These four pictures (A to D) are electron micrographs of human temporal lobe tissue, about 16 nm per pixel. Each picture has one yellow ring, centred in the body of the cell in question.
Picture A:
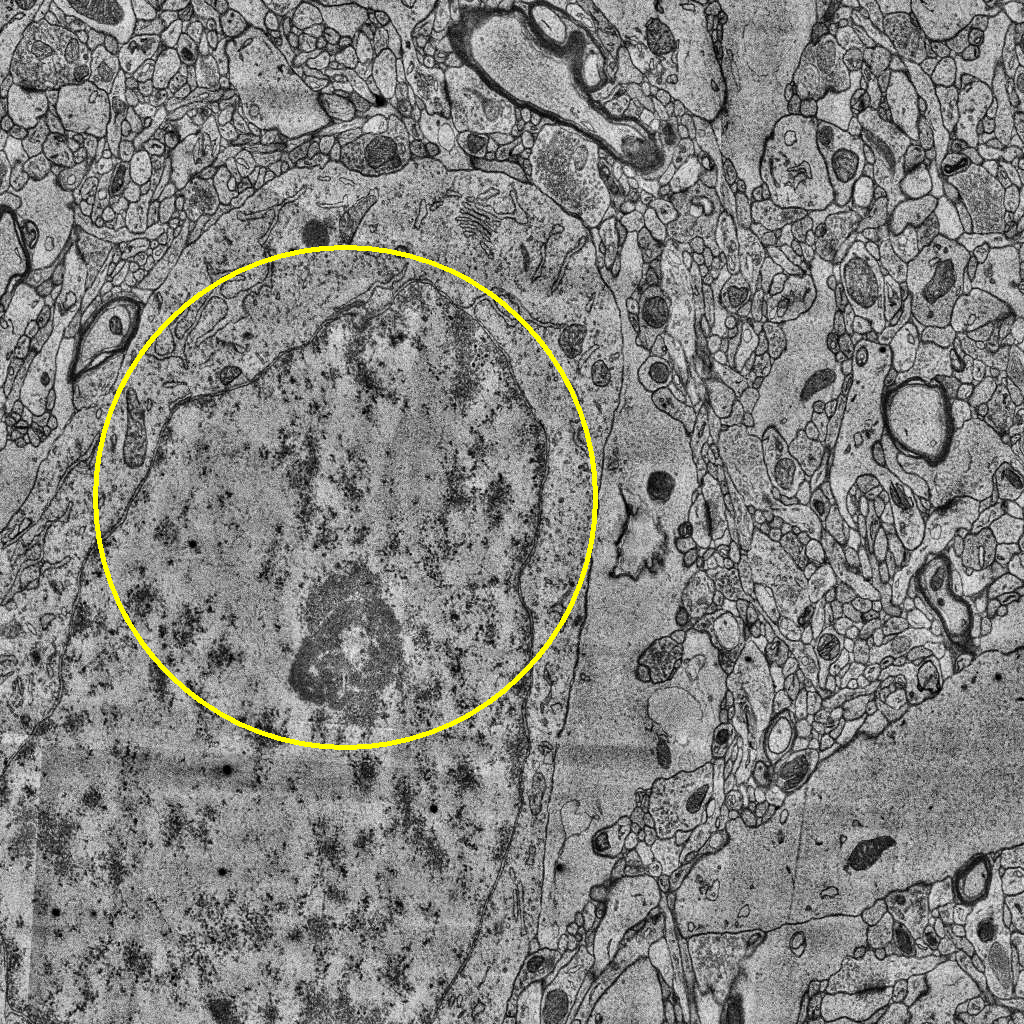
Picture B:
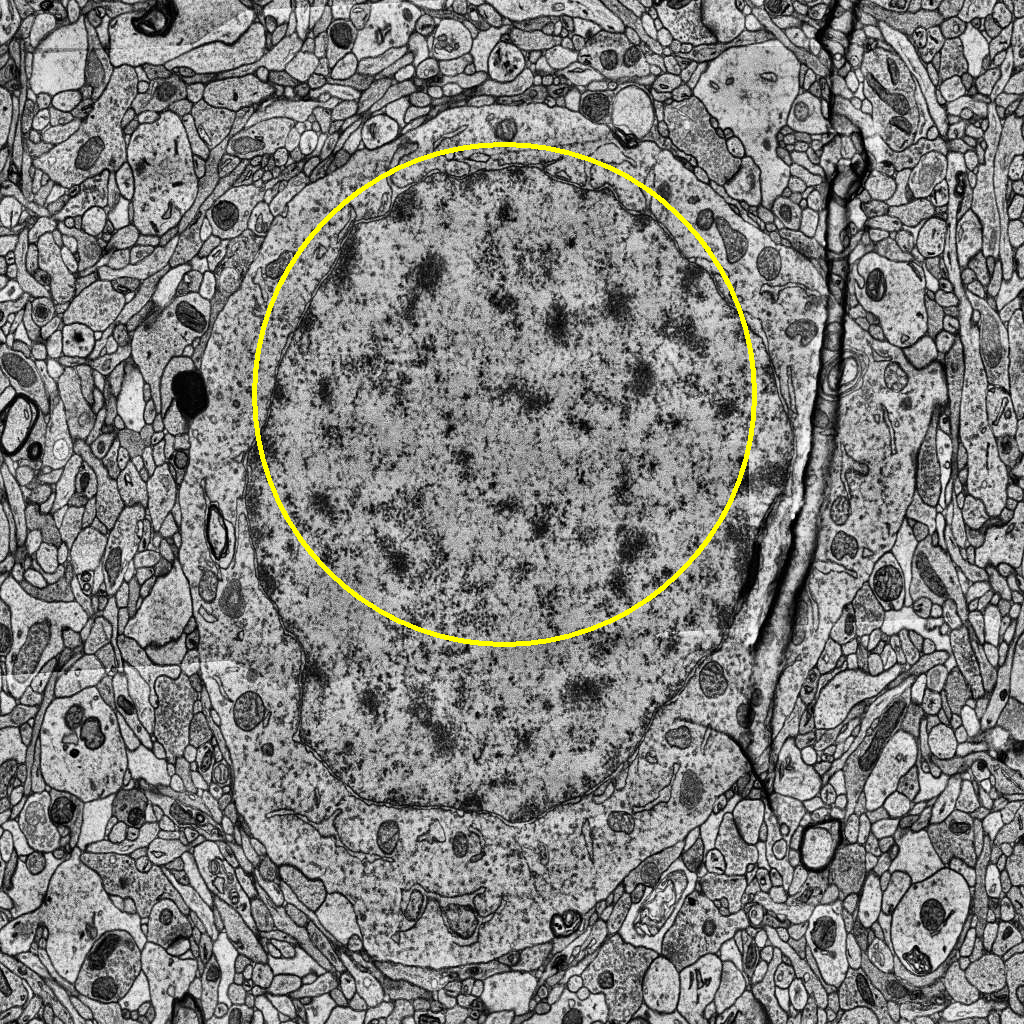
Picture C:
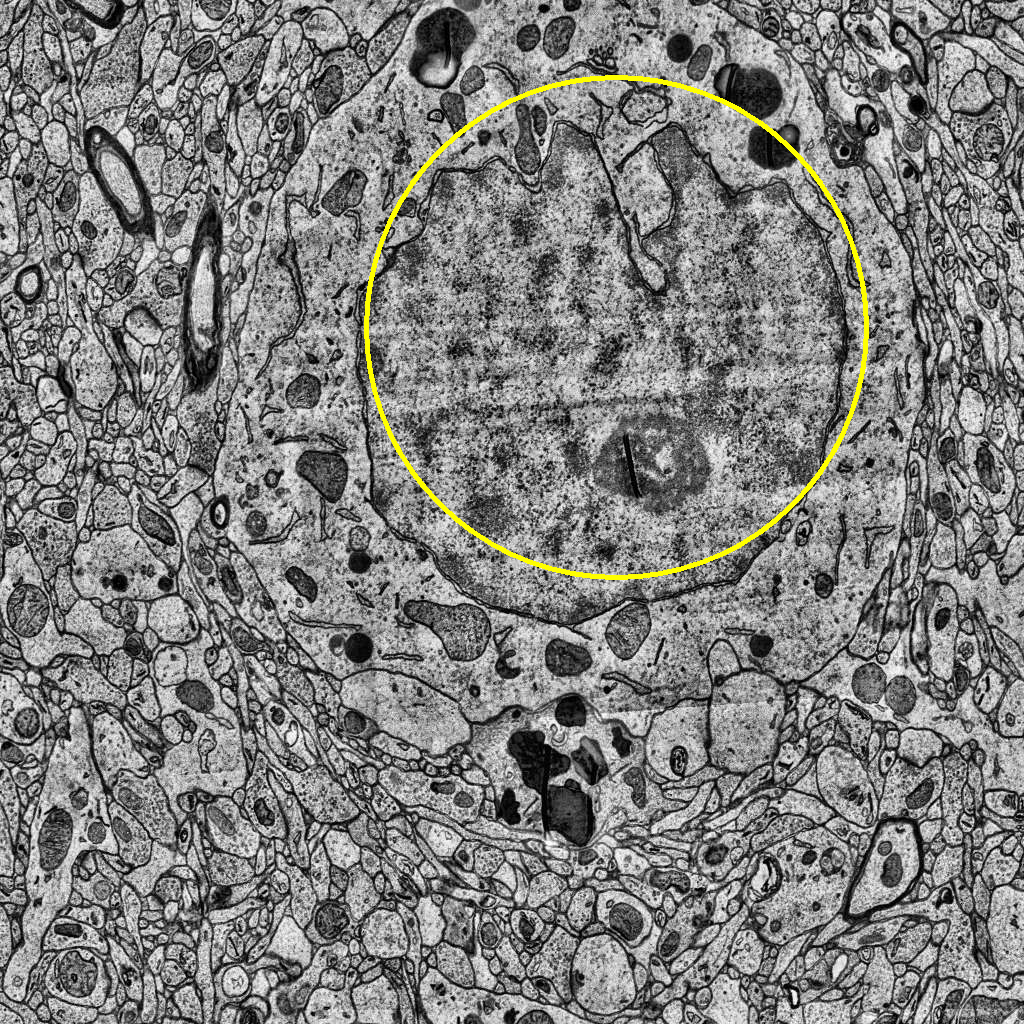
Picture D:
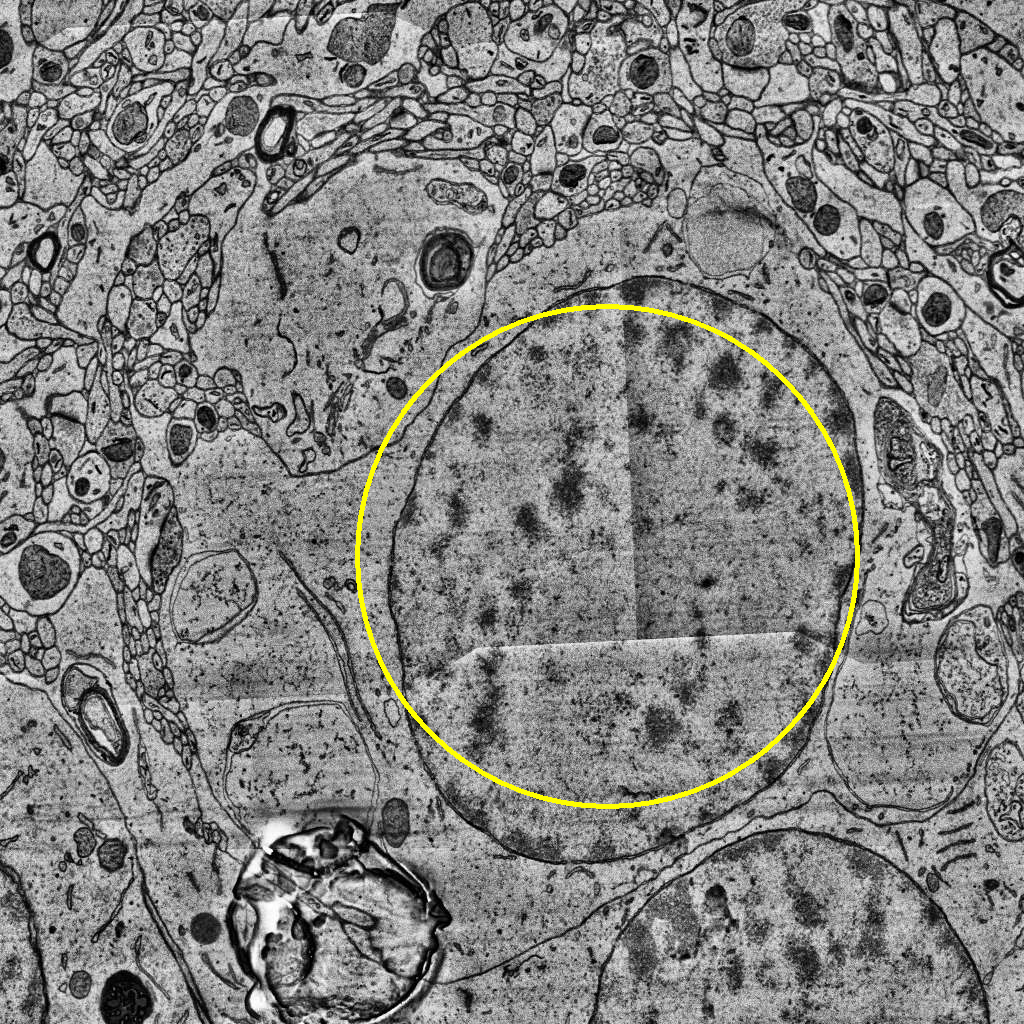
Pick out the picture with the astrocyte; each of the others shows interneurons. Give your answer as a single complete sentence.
The picture with the astrocyte is D.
